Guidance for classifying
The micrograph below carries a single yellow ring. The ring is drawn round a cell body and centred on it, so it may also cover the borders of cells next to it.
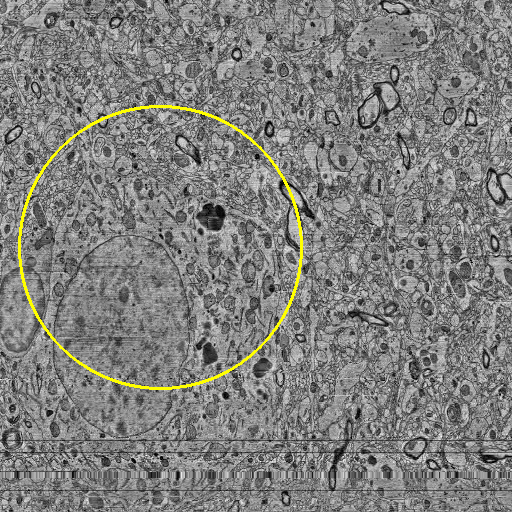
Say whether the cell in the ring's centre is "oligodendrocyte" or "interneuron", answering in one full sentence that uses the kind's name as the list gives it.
Within the yellow ring, an interneuron is the cell whose body sits at the centre.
